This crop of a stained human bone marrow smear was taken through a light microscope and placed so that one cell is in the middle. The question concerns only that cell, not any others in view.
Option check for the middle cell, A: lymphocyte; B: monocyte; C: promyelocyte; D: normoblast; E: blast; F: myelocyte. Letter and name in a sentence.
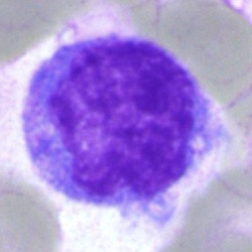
At the centre of the crop lies a promyelocyte, which makes option C correct.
